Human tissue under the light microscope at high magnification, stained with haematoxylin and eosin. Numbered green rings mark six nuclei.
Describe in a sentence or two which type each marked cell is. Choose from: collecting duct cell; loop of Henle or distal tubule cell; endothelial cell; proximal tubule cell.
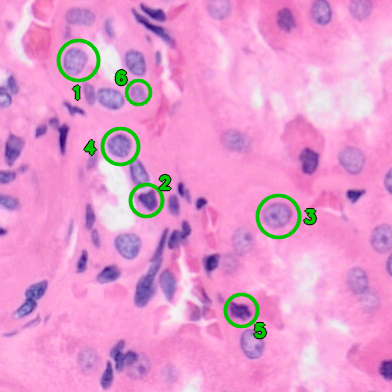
Cells 1, 2, 4 and 6 are collecting duct cells. Cells 3 and 5 are proximal tubule cells.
